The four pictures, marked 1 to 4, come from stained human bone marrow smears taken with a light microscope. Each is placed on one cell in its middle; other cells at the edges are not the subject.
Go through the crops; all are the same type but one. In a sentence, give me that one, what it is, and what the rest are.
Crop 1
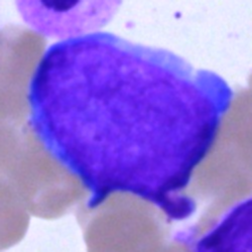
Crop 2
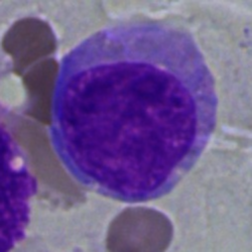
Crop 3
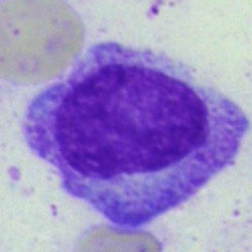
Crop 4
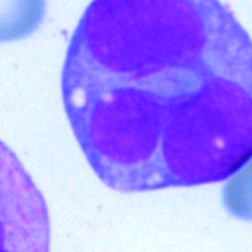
While crop 3 shows a promyelocyte, the other crops all show blasts.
